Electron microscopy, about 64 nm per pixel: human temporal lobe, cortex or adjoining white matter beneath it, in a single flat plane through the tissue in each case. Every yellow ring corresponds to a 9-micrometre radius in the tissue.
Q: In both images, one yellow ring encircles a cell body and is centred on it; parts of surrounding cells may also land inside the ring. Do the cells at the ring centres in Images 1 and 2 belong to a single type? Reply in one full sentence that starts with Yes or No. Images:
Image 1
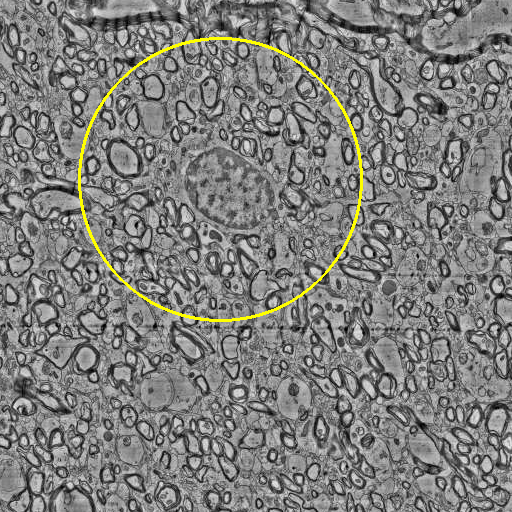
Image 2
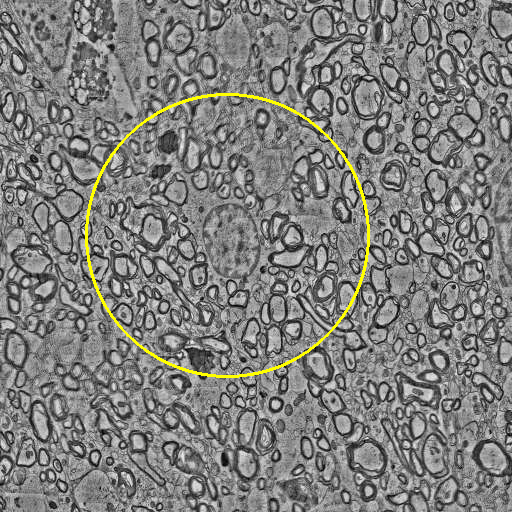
Yes, the cells at the ring centres in Images 1 and 2 are of a single type.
